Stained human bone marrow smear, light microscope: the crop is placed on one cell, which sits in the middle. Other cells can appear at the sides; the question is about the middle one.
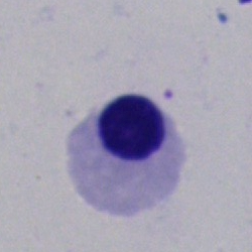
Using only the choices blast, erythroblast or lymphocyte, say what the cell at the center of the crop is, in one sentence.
The target cell in the middle of the crop is an erythroblast.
